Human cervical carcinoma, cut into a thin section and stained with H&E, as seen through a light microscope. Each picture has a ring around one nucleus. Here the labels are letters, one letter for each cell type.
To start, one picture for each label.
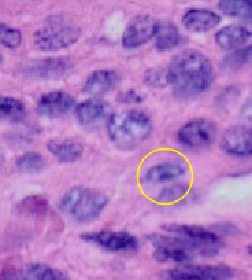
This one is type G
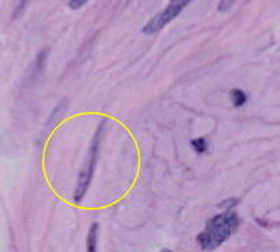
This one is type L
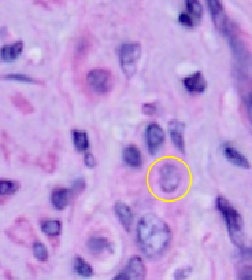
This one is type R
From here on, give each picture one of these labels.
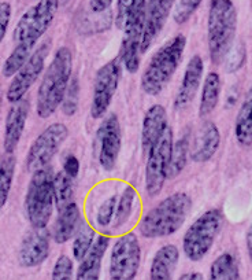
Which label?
type G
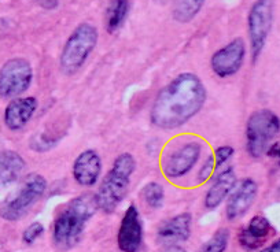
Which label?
type G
